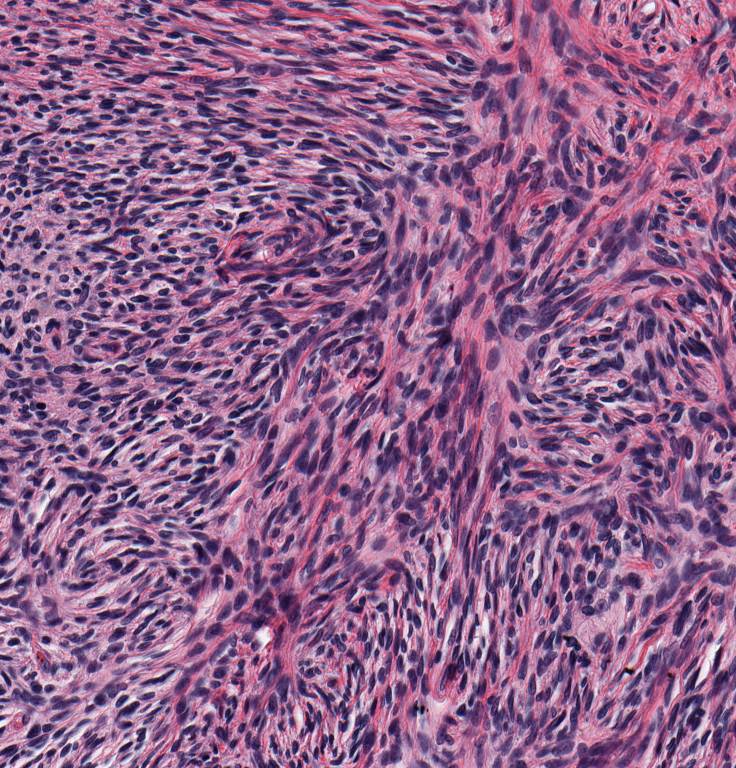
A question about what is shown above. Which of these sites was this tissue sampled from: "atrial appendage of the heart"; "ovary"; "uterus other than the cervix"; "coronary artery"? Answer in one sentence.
The site this tissue was sampled from is the ovary.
